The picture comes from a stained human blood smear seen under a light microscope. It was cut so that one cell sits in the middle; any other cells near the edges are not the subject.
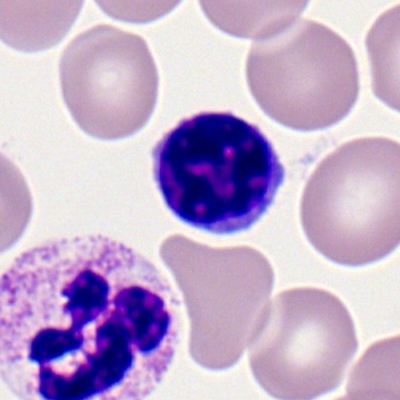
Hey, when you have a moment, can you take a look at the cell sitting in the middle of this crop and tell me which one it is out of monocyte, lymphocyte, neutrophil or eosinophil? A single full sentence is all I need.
In the central position of this crop, the cell is a lymphocyte.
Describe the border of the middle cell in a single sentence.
Worth noting that the cell border is smooth and lacks projections.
